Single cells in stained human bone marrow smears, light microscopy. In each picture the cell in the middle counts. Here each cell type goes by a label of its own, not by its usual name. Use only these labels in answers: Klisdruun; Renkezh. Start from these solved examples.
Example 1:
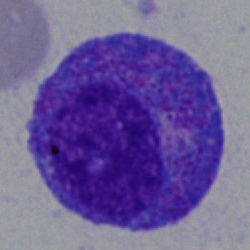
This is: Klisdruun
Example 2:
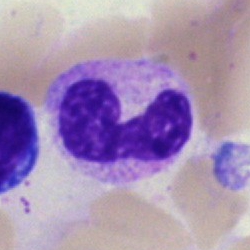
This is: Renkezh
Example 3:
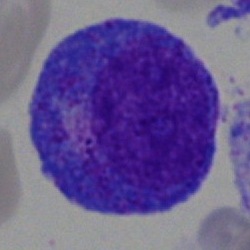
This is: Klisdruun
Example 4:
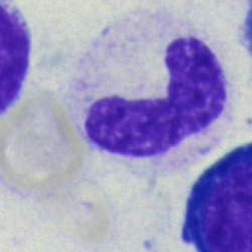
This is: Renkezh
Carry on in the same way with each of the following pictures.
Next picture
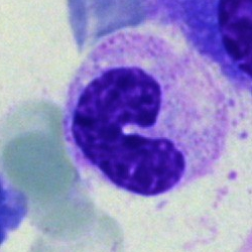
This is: Renkezh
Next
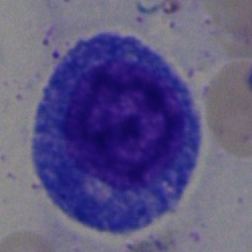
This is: Klisdruun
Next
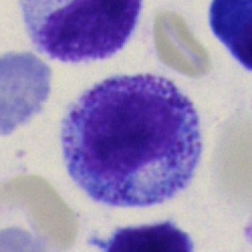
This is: Klisdruun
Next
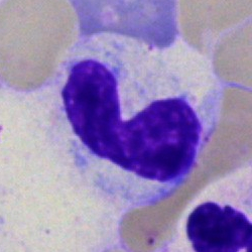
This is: Renkezh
